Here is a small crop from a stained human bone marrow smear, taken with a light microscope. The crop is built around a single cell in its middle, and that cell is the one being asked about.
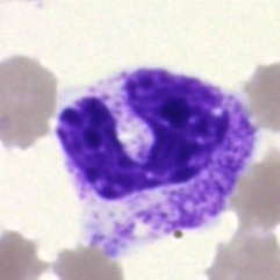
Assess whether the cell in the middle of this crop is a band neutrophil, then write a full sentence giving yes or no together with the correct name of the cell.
No, the cell placed at the center is a segmented neutrophil rather than a band neutrophil.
